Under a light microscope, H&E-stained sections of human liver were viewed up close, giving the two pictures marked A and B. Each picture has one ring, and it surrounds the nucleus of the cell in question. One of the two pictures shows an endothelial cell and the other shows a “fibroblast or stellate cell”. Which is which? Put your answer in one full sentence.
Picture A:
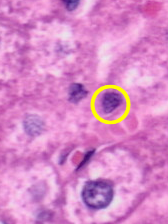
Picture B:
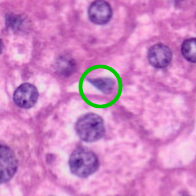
Picture B shows an endothelial cell, while picture A shows a “fibroblast or stellate cell”.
